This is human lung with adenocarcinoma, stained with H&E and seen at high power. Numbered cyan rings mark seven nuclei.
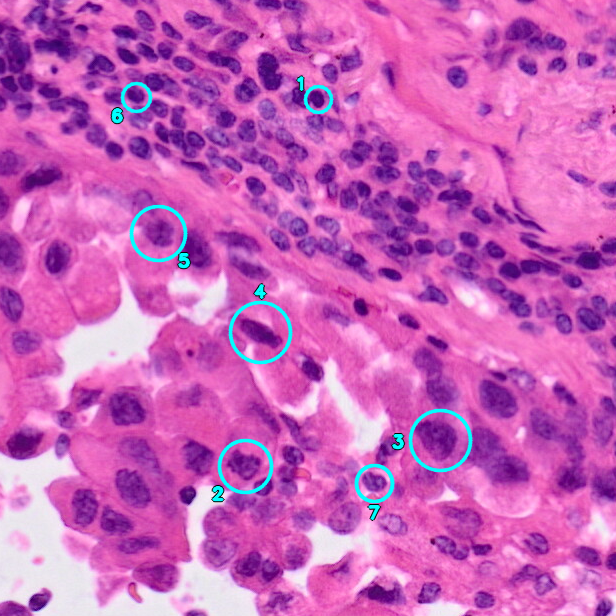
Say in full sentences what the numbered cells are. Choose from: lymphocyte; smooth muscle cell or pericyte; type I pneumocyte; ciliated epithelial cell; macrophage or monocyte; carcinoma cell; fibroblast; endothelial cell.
Cells 1, 6 and 7 are lymphocytes. Cells 2, 3, 4 and 5 are carcinoma cells.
